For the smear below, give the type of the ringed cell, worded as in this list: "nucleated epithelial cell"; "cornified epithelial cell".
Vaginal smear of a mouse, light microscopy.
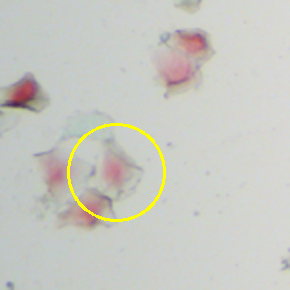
nucleated epithelial cell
